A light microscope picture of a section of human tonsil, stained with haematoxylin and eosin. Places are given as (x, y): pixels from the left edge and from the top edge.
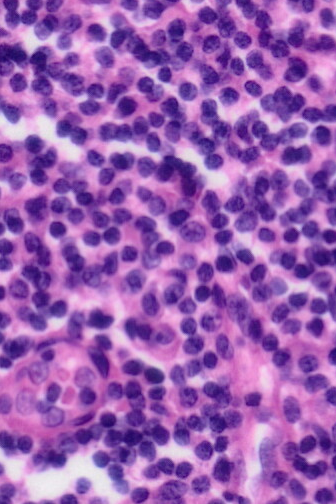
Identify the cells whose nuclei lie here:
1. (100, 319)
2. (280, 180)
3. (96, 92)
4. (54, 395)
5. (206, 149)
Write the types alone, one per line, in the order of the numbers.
proliferating B cell
small lymphocyte
small lymphocyte
endothelial cell
small lymphocyte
